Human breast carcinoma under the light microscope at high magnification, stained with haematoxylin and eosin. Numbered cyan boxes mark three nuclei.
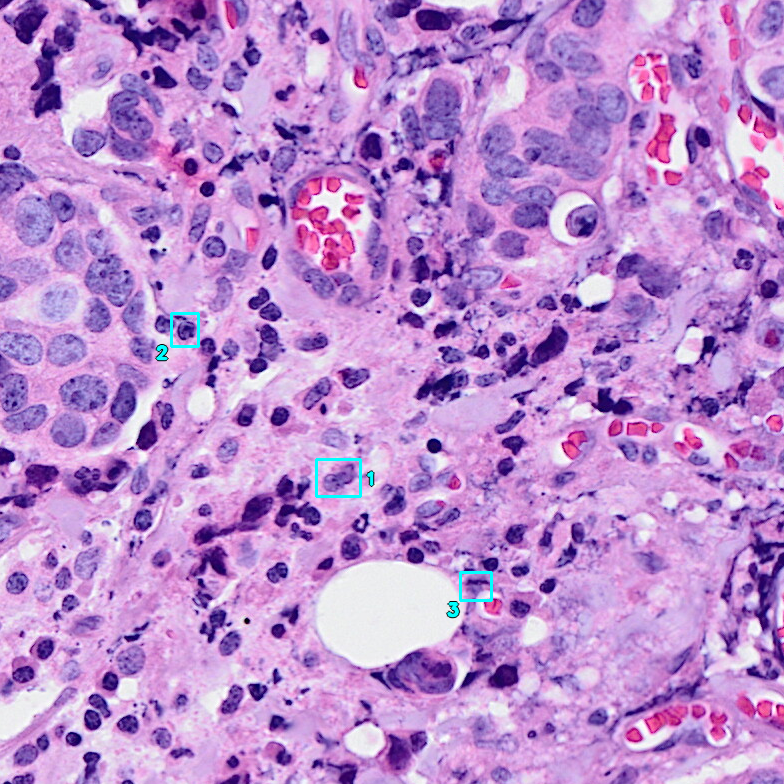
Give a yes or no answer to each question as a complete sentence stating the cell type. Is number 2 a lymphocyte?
Yes, the cell to which number 2 refers is a lymphocyte.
